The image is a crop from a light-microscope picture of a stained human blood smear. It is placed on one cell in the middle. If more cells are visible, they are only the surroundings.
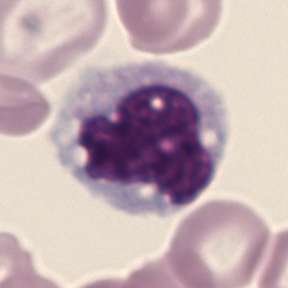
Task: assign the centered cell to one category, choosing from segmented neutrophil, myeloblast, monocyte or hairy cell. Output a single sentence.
To answer, the cell in the center of the crop is a monocyte.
